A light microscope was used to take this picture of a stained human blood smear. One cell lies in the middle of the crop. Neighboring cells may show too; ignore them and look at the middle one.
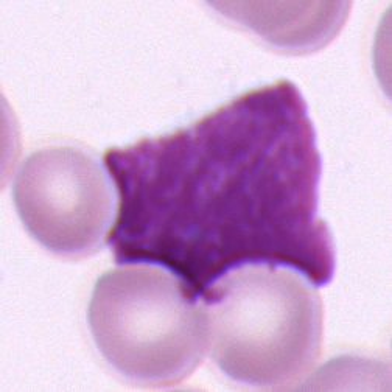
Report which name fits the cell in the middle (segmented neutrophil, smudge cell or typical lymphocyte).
smudge cell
